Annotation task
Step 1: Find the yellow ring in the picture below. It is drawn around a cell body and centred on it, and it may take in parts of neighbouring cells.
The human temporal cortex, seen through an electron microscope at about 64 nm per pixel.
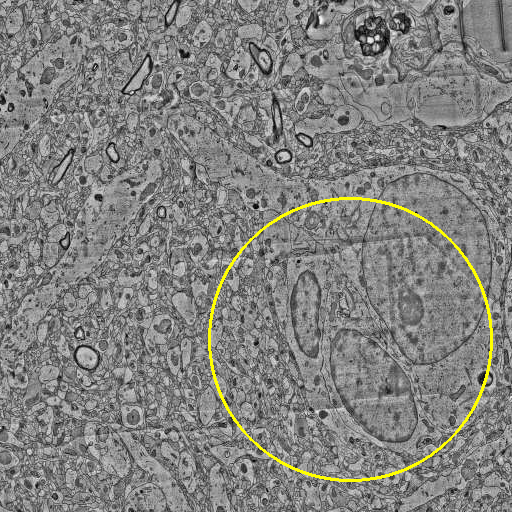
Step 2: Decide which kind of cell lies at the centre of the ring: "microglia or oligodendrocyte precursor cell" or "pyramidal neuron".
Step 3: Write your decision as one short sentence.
The kind of cell at the ring's centre is a microglial cell or oligodendrocyte precursor cell.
